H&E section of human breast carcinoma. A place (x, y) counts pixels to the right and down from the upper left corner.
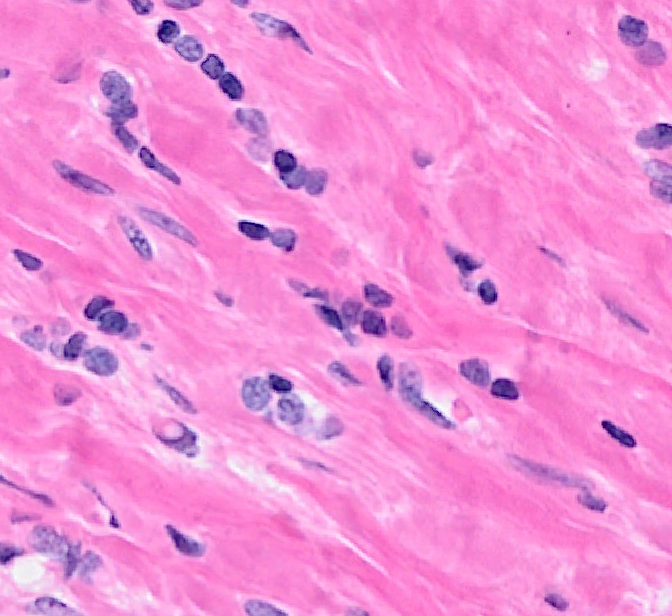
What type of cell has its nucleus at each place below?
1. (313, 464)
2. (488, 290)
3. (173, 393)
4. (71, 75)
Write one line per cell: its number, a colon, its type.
1: fibroblast
2: lymphocyte
3: fibroblast
4: fibroblast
